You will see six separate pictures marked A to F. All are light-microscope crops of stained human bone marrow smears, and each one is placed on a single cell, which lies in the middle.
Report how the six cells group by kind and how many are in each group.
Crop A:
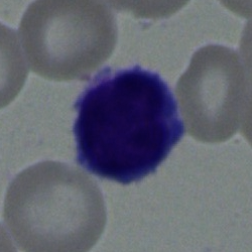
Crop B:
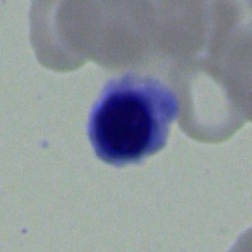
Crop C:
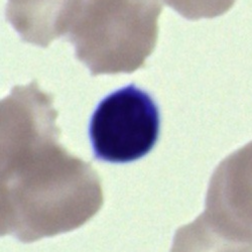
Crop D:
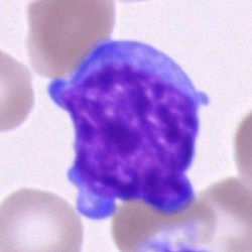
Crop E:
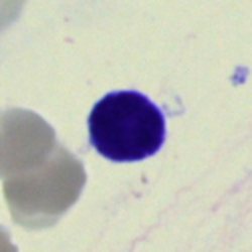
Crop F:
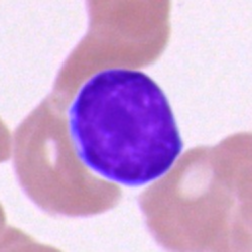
lymphocyte: 4
erythroblast: 1
blast: 1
